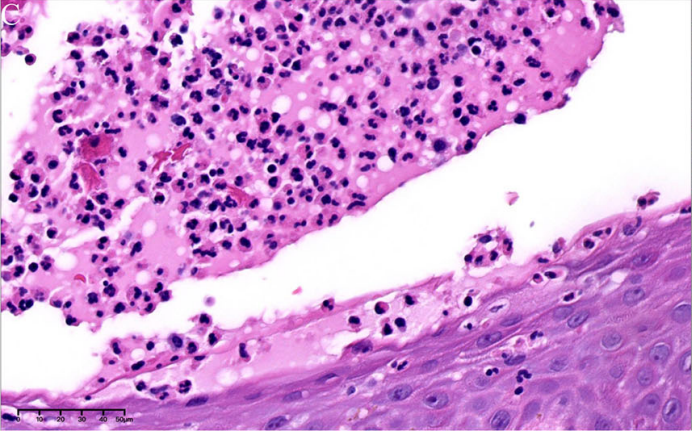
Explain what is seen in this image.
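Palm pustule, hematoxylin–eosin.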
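A space within the epidermis is packed with neutrophils, small cells with dark, lobed nuclei, forming a microabscess at the edge of a vesicle. The cells lie in pale pink fluid dotted with clear round vacuoles.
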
